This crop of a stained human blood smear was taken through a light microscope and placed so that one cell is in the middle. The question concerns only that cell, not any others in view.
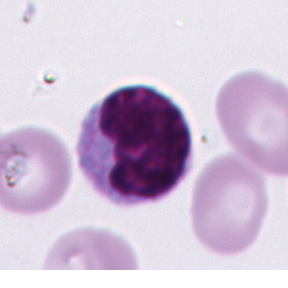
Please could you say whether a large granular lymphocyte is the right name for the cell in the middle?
yes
